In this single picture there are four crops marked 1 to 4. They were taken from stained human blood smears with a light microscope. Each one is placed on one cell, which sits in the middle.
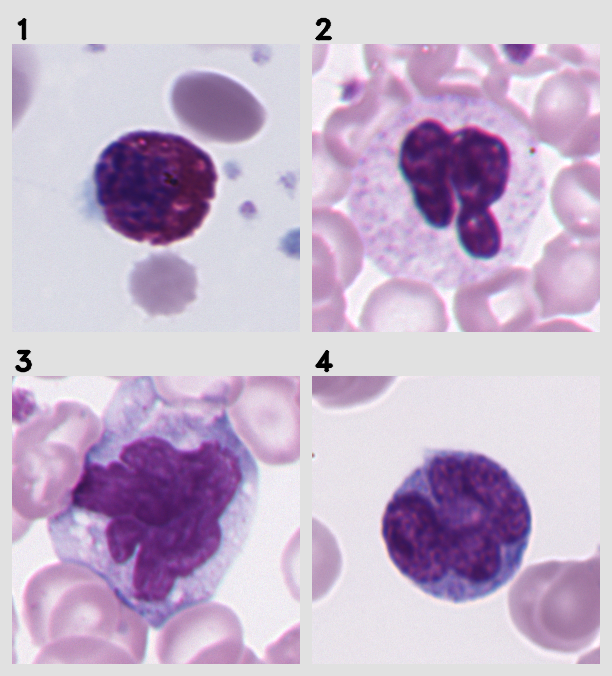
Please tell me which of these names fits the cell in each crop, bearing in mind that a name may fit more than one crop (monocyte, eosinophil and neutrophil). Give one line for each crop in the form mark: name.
1: eosinophil
2: neutrophil
3: monocyte
4: monocyte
